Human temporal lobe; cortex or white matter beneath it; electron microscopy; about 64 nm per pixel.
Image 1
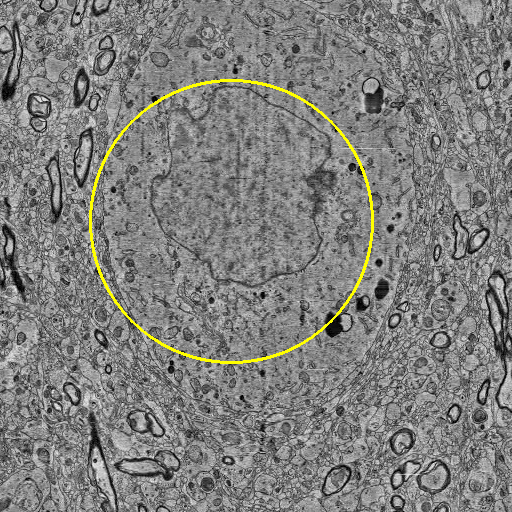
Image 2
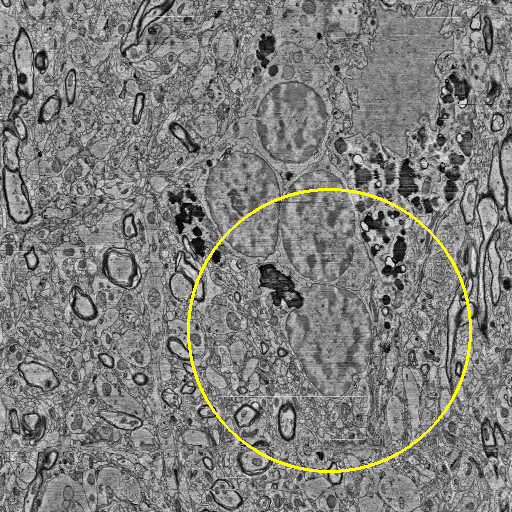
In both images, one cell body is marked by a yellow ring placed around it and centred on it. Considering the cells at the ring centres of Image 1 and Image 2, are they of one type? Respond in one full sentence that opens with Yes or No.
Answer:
No, two types apply to the ring-centred cells of Image 1 and Image 2.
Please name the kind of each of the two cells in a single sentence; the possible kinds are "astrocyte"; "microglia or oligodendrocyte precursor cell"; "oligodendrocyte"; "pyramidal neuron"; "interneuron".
In the first picture the ring is centred on a pyramidal neuron, and in the second on an oligodendrocyte.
